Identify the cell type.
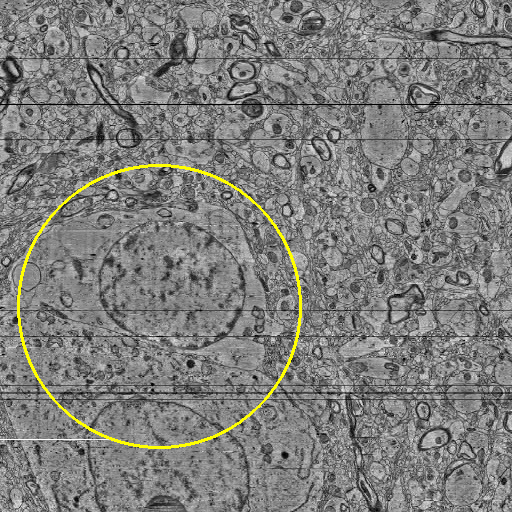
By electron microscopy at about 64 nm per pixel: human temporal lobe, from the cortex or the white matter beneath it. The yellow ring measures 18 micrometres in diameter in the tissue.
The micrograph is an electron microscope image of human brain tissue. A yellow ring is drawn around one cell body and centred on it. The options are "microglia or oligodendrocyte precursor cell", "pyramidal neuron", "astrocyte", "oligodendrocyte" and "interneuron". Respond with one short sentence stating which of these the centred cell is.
The cell body in the ring belongs to an astrocyte.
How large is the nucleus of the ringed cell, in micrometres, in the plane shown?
Roughly 9 micrometers across, in this plane.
